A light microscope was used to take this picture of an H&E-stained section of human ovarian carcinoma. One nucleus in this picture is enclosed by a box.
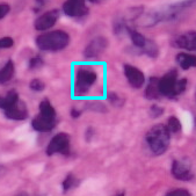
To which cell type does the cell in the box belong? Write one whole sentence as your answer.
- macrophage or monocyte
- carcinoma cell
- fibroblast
In terms of identity, the cell in the box is a macrophage or monocyte.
